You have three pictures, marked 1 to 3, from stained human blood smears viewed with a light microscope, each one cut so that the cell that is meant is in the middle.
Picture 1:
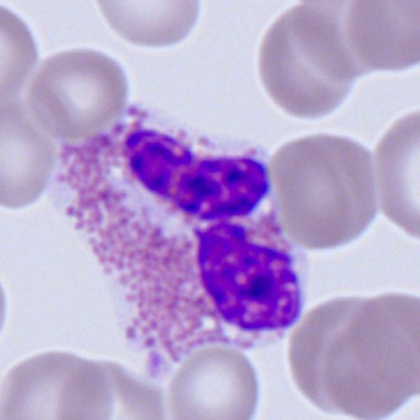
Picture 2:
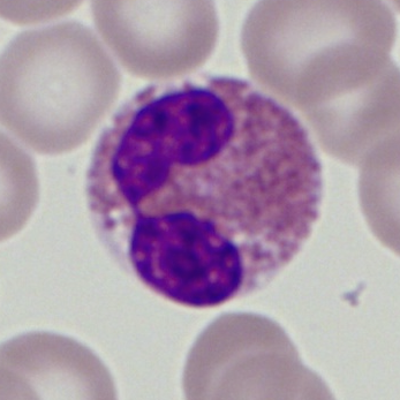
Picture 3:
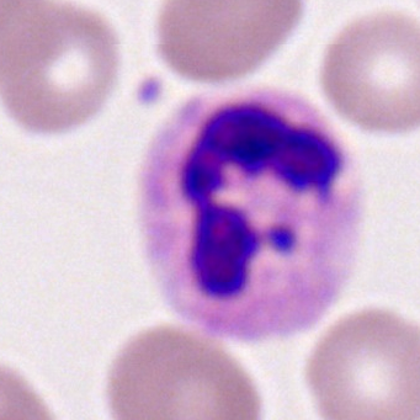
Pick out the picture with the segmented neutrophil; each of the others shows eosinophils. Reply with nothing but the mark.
3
